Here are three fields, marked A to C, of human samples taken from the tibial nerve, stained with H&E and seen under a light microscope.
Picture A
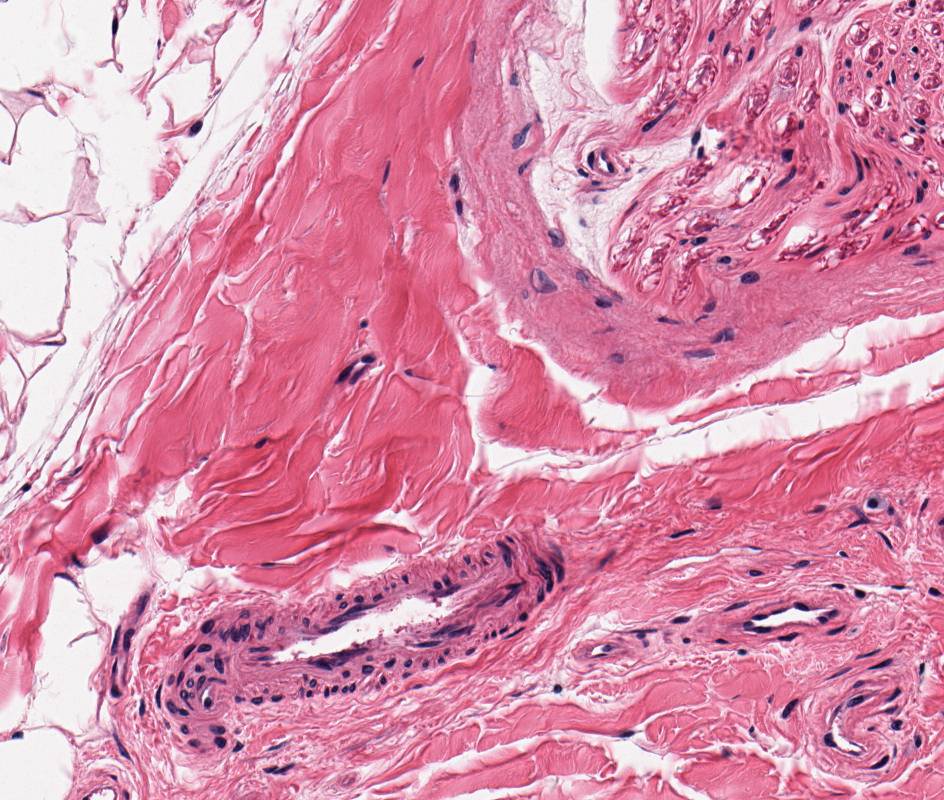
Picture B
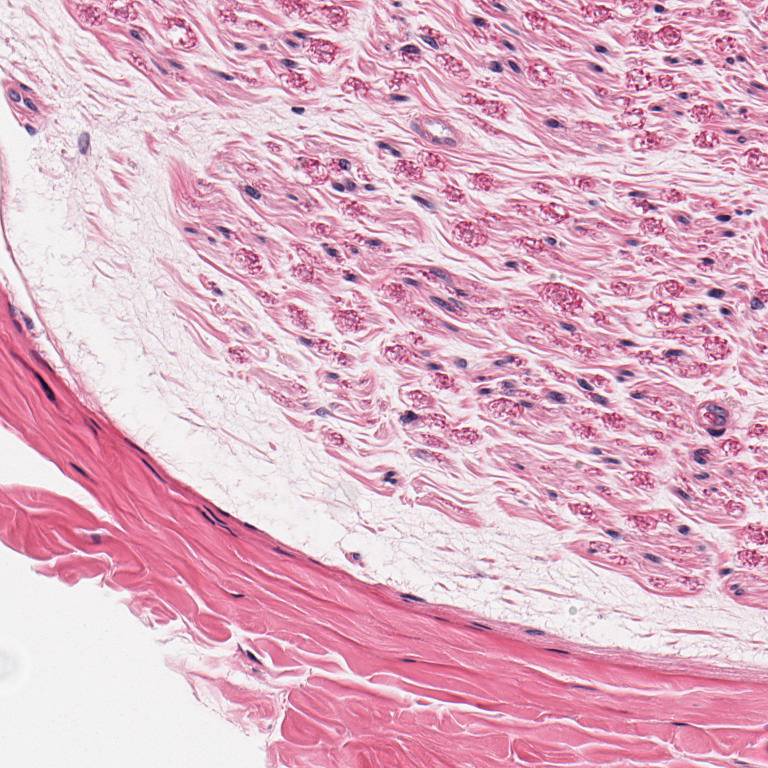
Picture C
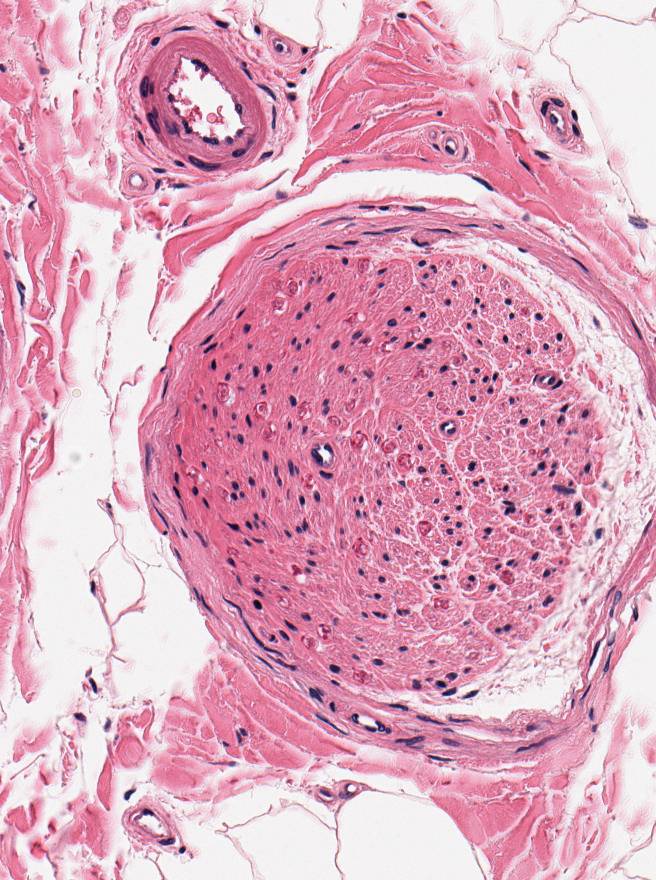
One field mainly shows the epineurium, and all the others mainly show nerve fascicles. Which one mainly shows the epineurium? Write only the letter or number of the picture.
A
